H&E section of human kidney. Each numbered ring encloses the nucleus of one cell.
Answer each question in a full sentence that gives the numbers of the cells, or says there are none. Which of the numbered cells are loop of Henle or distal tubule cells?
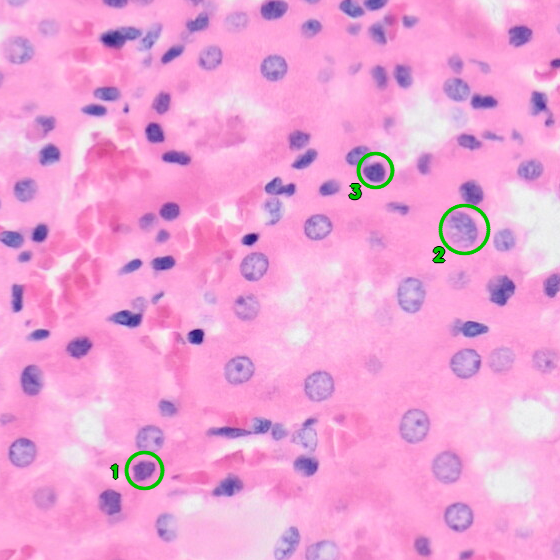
To be specific, the cells numbered 2 and 3 are loop of Henle or distal tubule cells.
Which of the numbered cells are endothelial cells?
The numbered cells are not endothelial cells, not even one of them.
